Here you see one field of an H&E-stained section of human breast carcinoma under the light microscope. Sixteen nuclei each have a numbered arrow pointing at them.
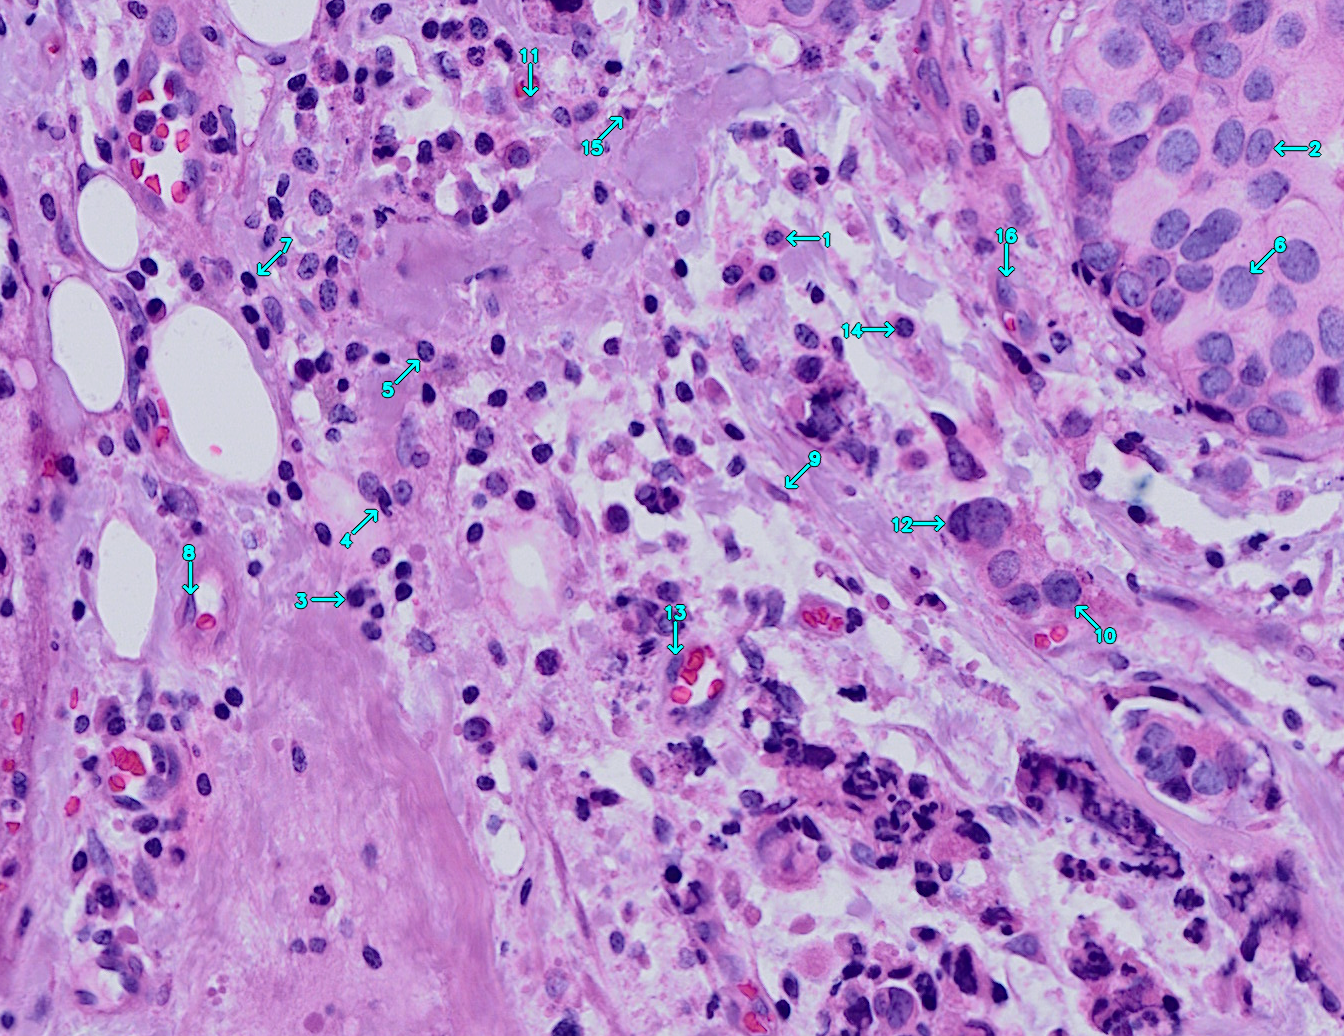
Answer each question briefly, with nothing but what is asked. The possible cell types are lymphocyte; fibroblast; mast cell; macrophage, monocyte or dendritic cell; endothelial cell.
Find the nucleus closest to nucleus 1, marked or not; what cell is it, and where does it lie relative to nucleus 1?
a mast cell; below nucleus 1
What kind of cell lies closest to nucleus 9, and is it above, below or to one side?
a lymphocyte above and to the left of nucleus 9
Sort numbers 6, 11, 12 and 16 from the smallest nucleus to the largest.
11, 16, 12, 6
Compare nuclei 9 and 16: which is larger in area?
16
